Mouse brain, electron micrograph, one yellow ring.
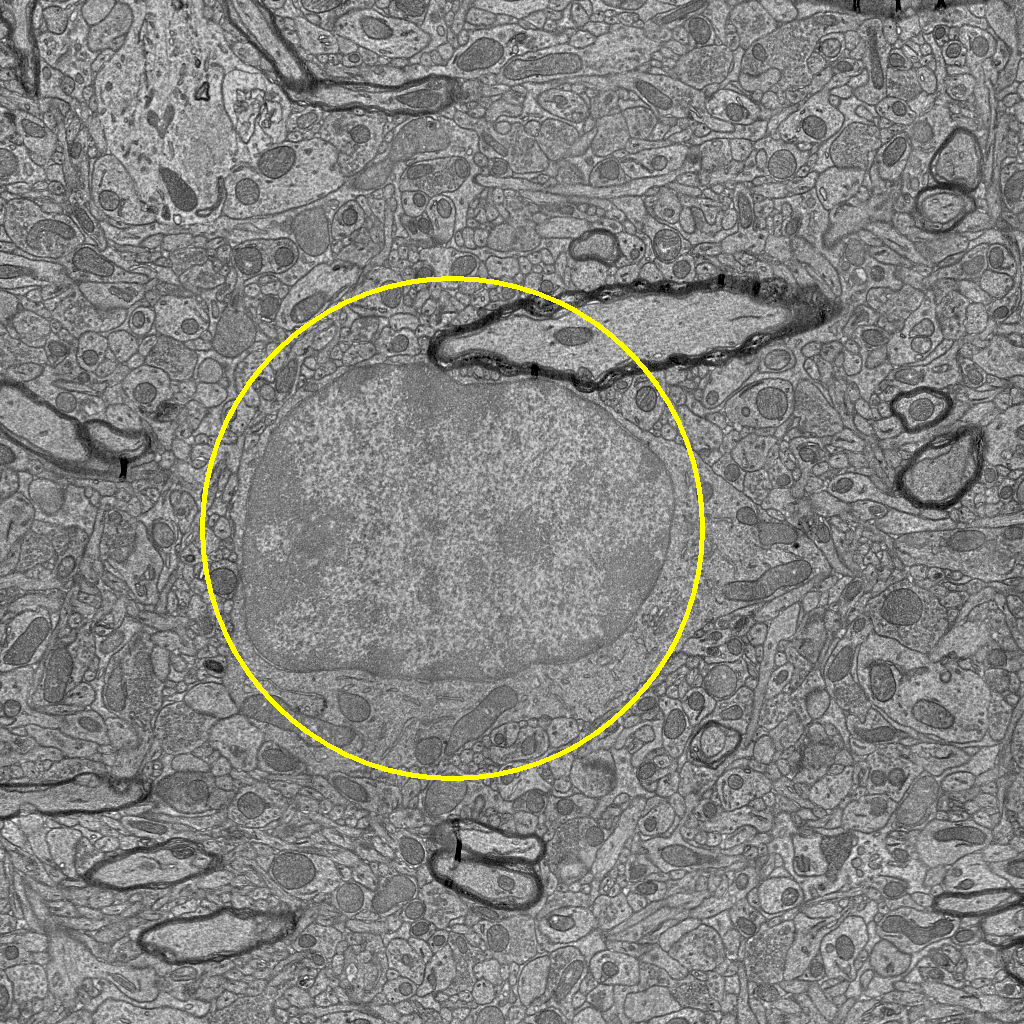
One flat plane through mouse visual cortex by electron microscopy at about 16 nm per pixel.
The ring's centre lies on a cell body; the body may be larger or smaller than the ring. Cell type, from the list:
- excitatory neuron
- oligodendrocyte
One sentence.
The yellow ring's centre lies on an oligodendrocyte.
